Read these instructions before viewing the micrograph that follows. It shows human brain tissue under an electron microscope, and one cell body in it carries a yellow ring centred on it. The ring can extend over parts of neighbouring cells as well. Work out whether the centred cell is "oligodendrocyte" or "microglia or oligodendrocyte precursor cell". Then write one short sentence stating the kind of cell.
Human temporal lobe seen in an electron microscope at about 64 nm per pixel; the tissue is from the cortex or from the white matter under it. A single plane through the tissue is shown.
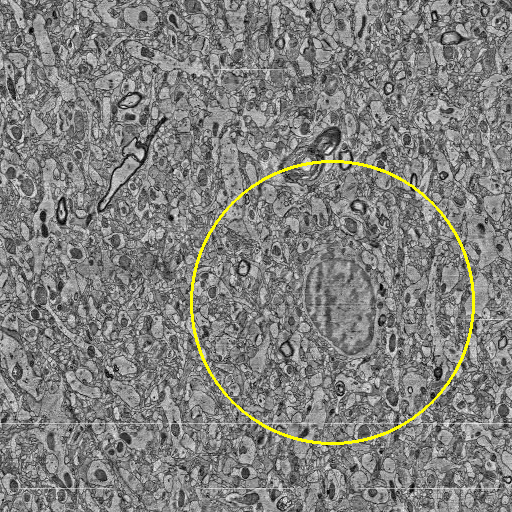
The ringed cell is an oligodendrocyte.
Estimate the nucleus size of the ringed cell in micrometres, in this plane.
In this plane the nucleus measures roughly 7 by 4 micrometers.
